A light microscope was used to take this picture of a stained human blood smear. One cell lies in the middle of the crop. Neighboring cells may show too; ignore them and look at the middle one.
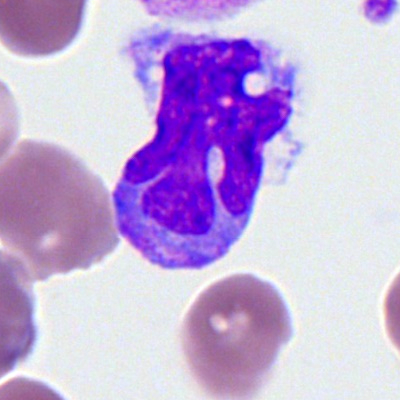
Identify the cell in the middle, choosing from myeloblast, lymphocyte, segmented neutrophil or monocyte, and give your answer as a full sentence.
Positioned in the middle of the crop is a monocyte.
